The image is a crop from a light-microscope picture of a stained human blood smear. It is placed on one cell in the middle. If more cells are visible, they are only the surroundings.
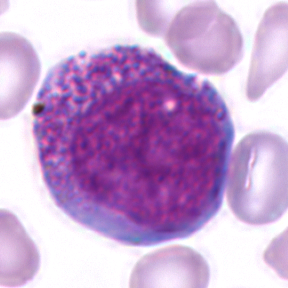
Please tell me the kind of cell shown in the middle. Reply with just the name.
promyelocyte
